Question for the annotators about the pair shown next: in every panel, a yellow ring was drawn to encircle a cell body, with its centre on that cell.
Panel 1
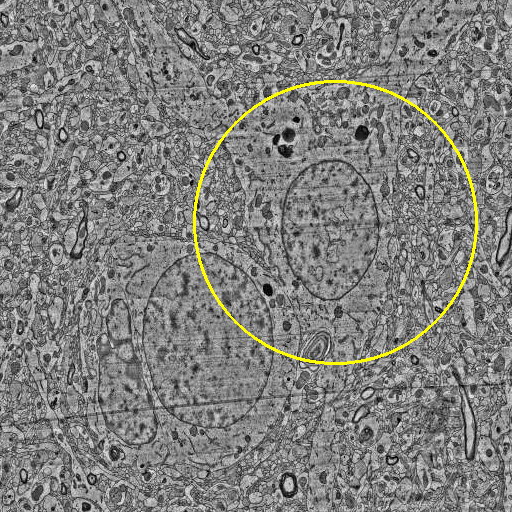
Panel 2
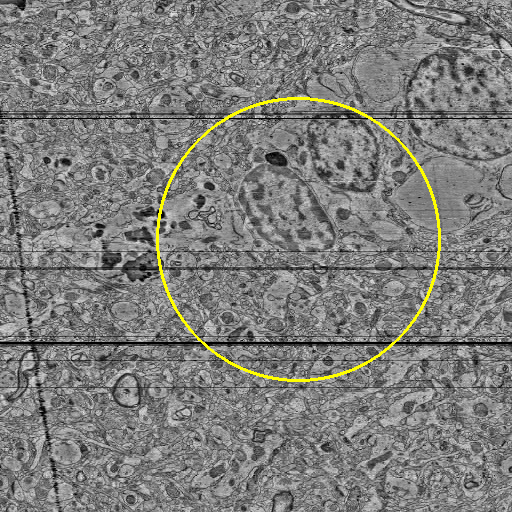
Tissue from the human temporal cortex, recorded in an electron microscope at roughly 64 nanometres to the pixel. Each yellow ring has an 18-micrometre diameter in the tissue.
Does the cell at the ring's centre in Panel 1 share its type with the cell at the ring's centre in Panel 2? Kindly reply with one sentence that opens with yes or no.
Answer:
No, in Panels 1 and 2 the cells at the ring centres belong to separate types.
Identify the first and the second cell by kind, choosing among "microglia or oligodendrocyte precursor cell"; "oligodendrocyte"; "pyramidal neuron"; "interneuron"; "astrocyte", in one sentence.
The one in the first picture is a pyramidal neuron, while the one in the second is a microglial cell or oligodendrocyte precursor cell.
